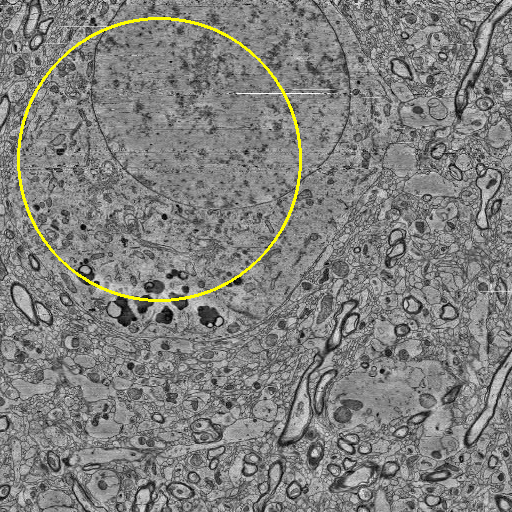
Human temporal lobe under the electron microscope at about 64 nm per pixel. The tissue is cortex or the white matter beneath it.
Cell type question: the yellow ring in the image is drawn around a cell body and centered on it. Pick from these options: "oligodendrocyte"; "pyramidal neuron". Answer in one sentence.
The ringed cell at the center is a pyramidal neuron.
